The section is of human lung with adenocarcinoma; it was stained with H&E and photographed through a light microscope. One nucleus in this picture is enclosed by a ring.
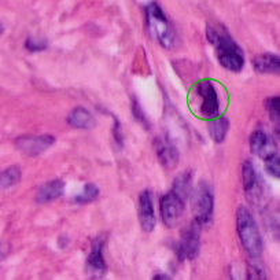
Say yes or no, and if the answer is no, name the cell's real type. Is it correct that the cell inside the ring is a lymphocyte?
No, it is a plasma cell.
